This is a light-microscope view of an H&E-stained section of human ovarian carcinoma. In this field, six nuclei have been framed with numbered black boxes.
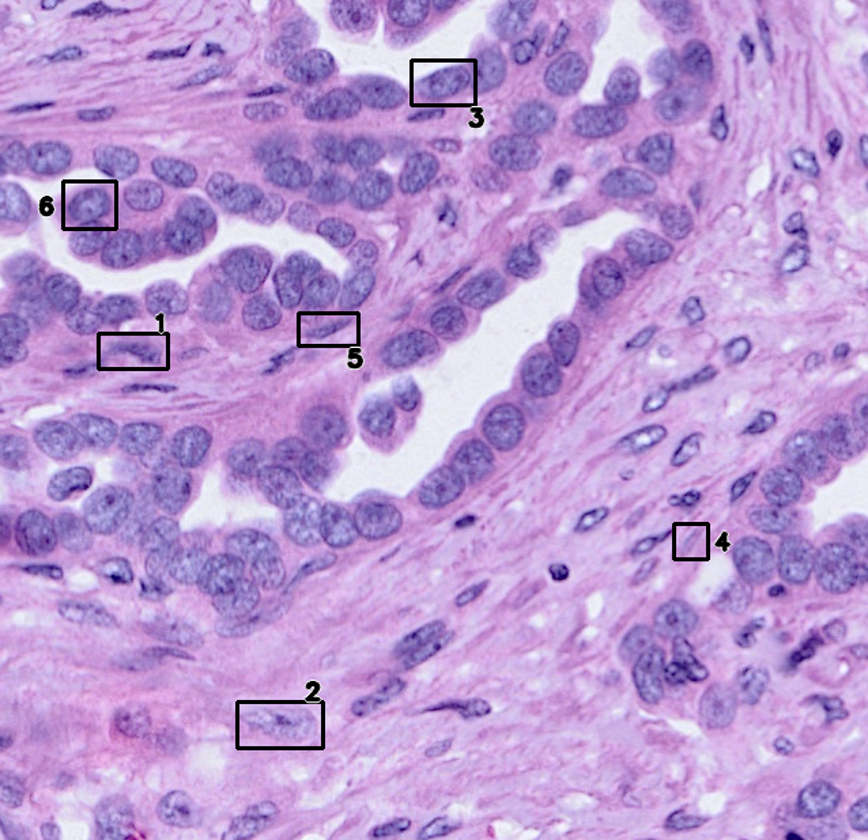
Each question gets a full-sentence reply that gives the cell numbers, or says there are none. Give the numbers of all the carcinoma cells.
The cells which carry the numbers 3 and 6 are carcinoma cells.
